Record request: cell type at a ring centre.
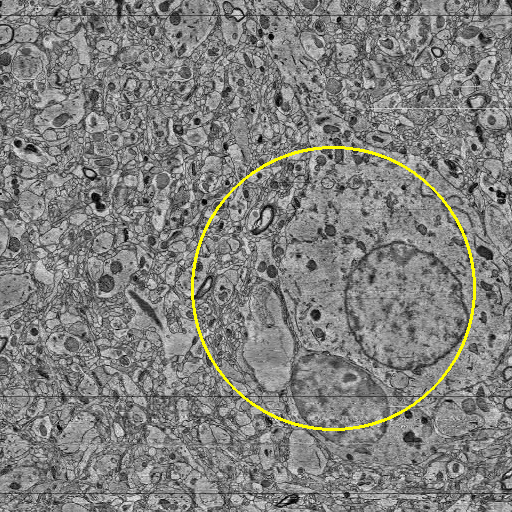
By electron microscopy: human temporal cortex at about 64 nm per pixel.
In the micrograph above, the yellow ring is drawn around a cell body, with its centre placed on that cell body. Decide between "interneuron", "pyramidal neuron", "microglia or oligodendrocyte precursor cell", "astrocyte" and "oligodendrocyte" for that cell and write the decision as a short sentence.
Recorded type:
The cell centred in the yellow ring is a pyramidal neuron.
